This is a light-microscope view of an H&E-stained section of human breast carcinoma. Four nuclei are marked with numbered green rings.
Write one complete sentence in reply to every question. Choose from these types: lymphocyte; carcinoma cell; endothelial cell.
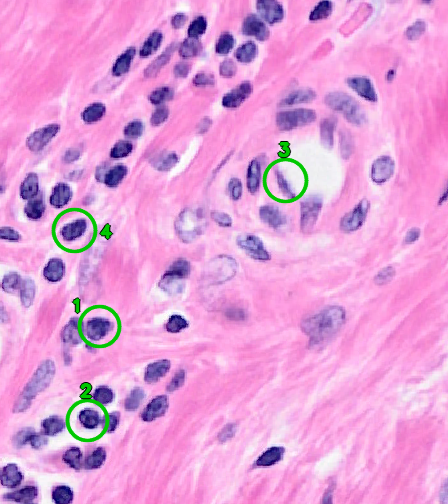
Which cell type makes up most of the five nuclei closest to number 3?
Endothelial cells account for more than half of the five nuclei nearest to number 3.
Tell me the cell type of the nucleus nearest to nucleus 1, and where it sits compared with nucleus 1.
Just to the left of nucleus 1 lies the nearest nucleus, which belongs to a lymphocyte.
